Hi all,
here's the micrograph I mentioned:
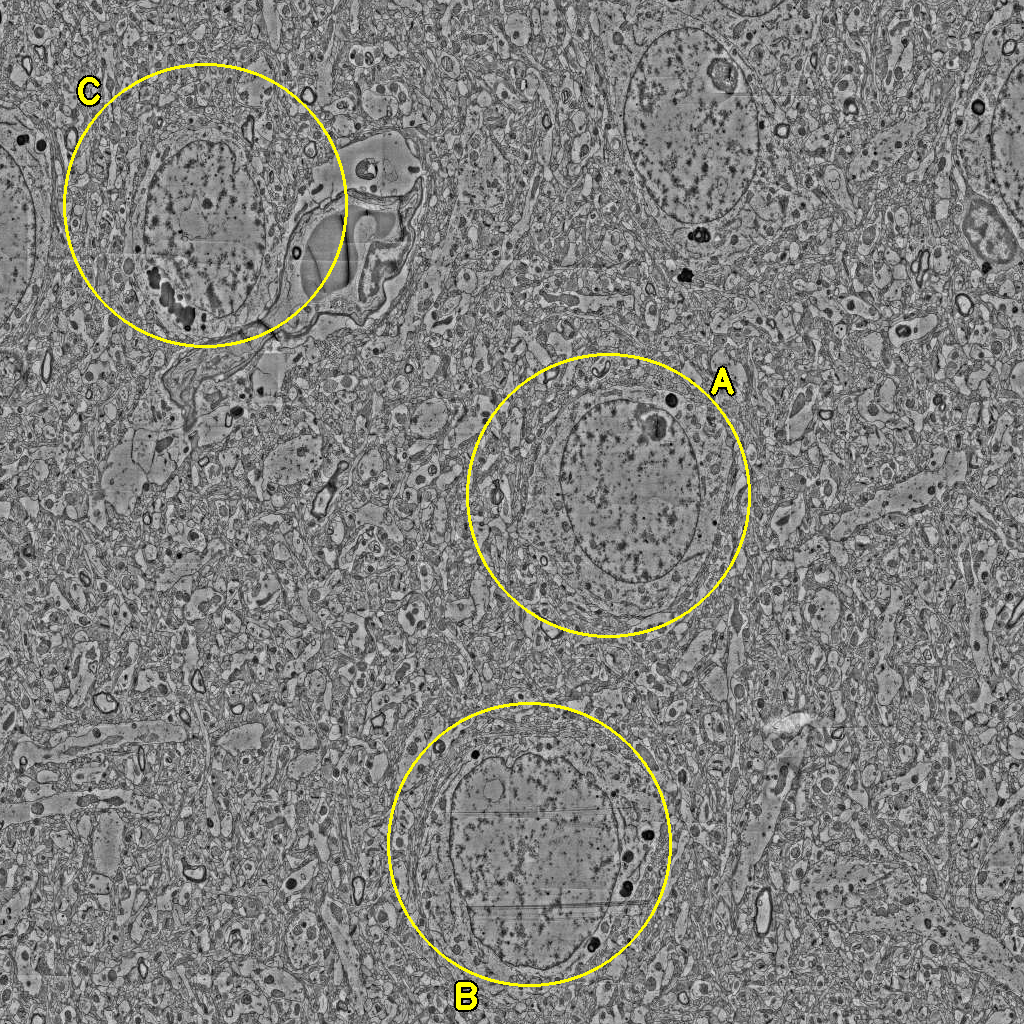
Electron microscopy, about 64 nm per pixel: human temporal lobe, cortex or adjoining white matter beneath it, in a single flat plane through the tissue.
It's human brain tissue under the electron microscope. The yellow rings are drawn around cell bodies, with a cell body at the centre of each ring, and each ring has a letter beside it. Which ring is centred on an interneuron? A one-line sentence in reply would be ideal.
It's the one labelled C.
